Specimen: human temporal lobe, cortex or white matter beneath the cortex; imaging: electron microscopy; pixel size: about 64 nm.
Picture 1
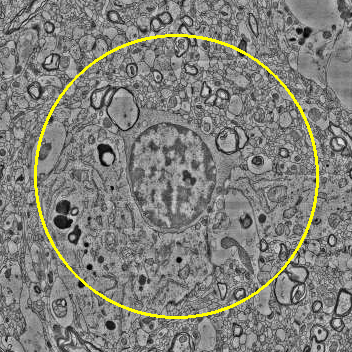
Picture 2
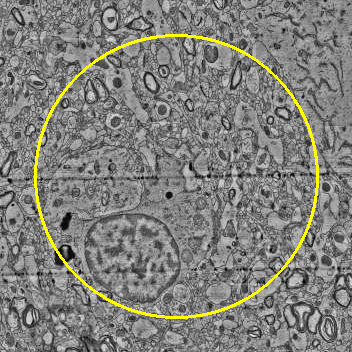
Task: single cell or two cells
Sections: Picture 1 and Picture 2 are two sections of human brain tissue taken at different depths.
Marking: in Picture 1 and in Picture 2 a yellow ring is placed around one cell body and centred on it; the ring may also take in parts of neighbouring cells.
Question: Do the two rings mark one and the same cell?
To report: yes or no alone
no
